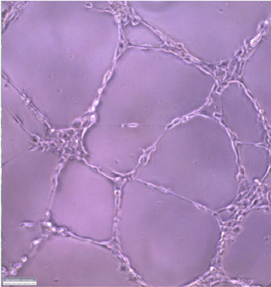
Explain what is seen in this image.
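Elongated, spindle-shaped cells are aligned end to end into thin cords that branch and rejoin. Where several cords meet, cells gather into small clusters forming nodes. The cords enclose large, empty polygonal spaces with hardly any free single cells between them.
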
